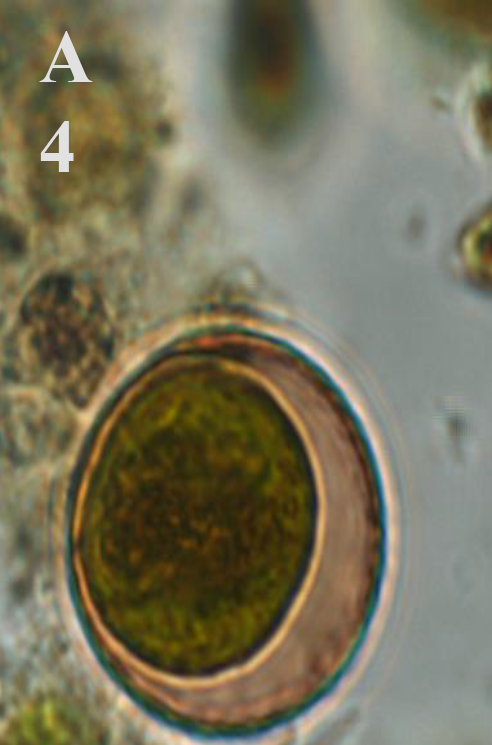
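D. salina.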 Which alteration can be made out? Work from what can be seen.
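Plasmolysis. The green protoplast is drawn away from the outer cover. A clear crescent-shaped gap lies between protoplast and cover on one side.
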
